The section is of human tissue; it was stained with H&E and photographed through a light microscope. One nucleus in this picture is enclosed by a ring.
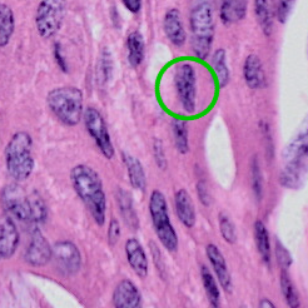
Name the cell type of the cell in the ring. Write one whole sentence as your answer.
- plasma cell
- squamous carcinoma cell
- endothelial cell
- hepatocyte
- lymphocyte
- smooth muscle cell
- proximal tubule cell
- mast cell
By cell type, the cell in the ring is a squamous carcinoma cell.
